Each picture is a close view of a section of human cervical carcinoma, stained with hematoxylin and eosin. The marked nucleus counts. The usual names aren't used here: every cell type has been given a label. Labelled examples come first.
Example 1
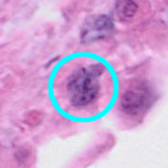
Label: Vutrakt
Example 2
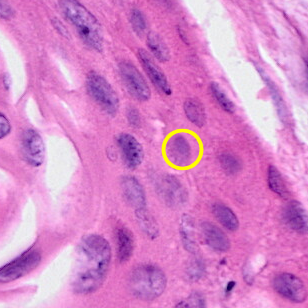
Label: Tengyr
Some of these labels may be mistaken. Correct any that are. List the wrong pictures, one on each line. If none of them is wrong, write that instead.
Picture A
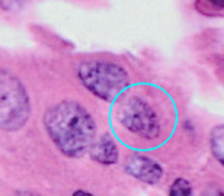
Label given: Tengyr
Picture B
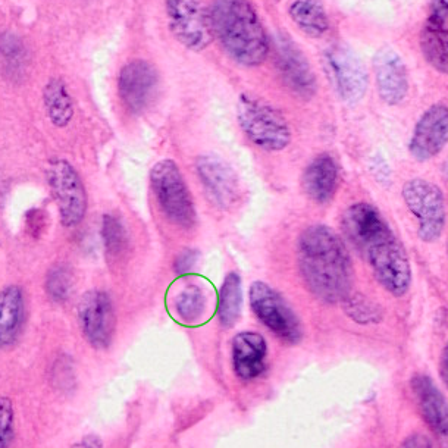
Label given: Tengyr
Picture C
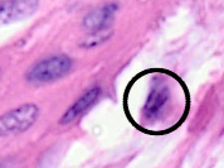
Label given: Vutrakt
Every label is right.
